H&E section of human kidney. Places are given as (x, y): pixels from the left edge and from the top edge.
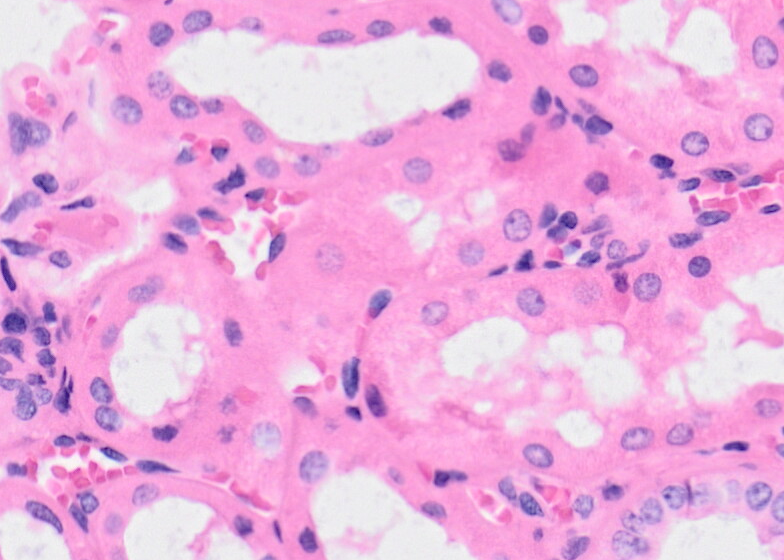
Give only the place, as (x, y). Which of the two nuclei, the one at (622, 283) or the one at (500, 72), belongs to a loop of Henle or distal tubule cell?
(500, 72)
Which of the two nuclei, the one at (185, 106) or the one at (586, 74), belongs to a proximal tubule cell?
(586, 74)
